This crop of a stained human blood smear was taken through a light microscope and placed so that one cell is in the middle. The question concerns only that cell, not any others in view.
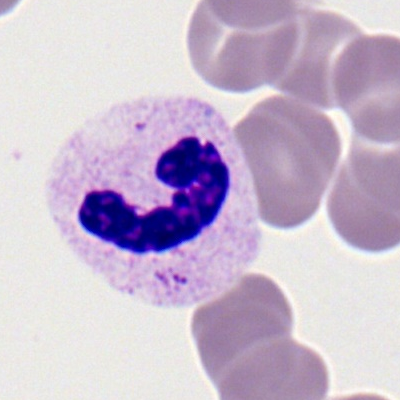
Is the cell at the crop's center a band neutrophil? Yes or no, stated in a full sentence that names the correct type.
Yes, as for the central cell, it is a band neutrophil.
